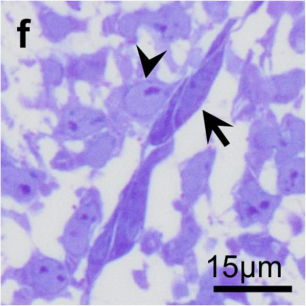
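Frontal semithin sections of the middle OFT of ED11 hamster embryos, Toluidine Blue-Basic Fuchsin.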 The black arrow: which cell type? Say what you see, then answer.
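Endothelial cells. The marked cells are elongated and flattened. They run in a narrow band between two masses of looser cells.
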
